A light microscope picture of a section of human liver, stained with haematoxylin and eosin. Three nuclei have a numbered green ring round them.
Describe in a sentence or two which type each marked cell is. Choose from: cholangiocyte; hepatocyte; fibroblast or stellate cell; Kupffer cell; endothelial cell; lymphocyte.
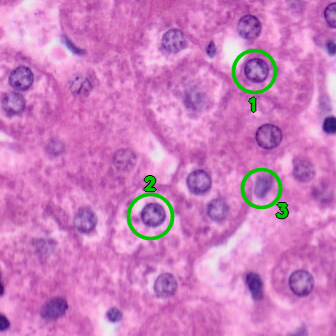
Cells 1 and 2 are hepatocytes. Cell 3 is an endothelial cell.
